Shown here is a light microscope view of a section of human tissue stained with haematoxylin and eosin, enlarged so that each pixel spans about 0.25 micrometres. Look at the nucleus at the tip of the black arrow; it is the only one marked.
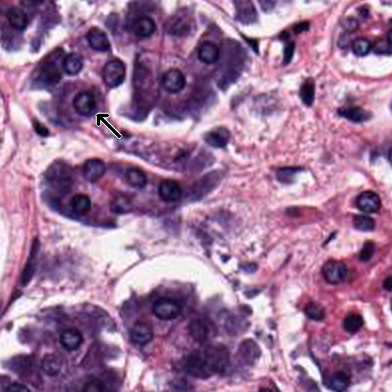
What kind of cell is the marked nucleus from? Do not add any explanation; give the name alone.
pancreatic acinar cell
